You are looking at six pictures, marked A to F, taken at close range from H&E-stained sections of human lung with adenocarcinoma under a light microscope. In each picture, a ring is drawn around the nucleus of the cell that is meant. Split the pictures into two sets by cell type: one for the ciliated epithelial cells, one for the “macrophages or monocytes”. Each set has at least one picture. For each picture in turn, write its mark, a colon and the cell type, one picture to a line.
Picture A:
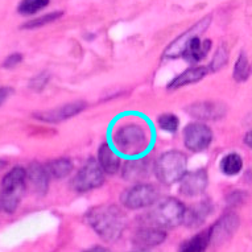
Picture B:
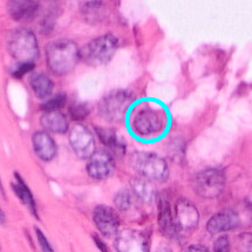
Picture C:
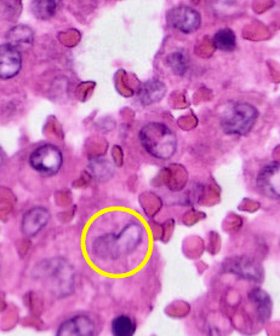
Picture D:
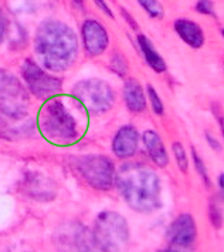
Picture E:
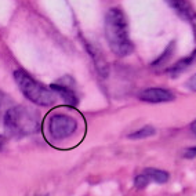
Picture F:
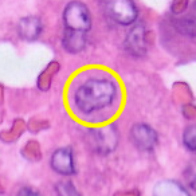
A: ciliated epithelial cell
B: ciliated epithelial cell
C: macrophage or monocyte
D: ciliated epithelial cell
E: ciliated epithelial cell
F: macrophage or monocyte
